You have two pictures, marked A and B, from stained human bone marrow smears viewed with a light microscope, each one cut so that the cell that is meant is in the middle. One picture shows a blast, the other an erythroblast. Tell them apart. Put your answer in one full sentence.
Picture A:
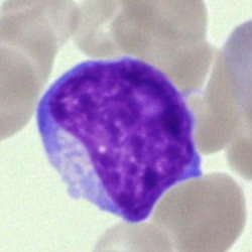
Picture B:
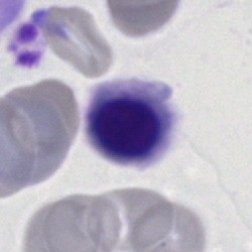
Picture A shows a blast and picture B shows an erythroblast.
